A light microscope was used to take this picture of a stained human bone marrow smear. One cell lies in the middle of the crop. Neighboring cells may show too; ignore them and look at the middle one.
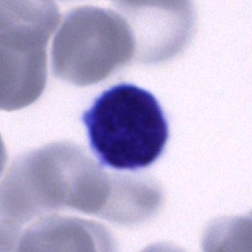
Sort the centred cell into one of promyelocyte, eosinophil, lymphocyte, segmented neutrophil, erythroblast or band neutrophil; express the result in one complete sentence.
The middle position in this crop is taken by a lymphocyte.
